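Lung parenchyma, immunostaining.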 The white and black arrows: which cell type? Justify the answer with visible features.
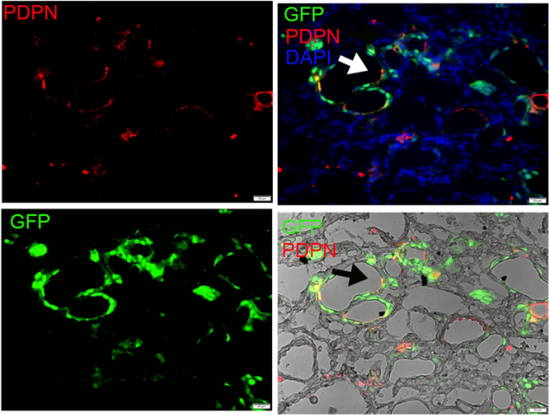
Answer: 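Type I pneumocytes. The arrows point to thin, flattened cells curving around the edge of a round air space. At the arrowed lining, green and red overlap as yellow-orange.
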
